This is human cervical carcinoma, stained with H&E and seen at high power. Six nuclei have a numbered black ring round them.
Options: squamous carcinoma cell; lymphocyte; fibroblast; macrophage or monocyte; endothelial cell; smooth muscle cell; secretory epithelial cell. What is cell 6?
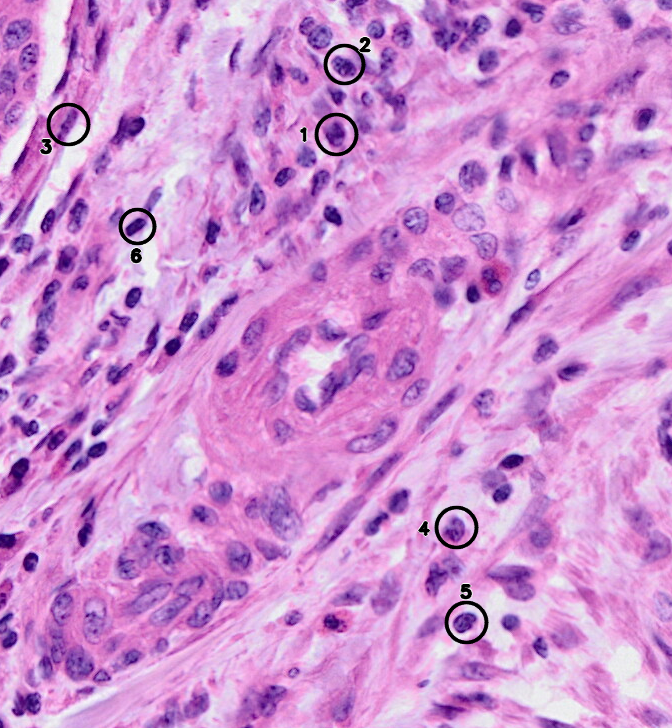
lymphocyte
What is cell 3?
fibroblast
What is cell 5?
lymphocyte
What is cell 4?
macrophage or monocyte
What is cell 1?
lymphocyte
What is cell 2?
lymphocyte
